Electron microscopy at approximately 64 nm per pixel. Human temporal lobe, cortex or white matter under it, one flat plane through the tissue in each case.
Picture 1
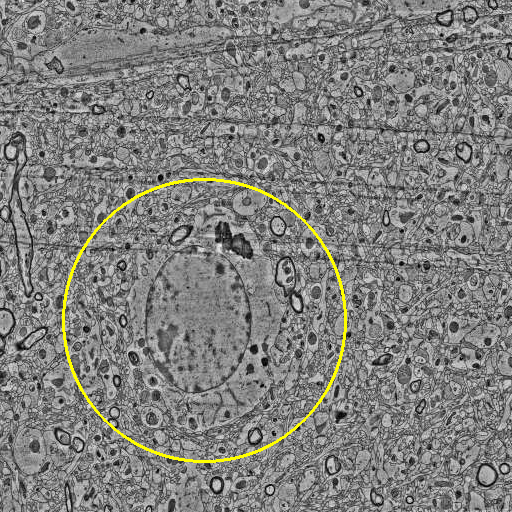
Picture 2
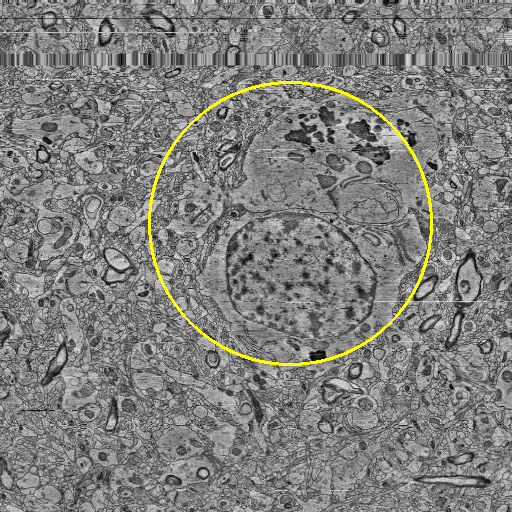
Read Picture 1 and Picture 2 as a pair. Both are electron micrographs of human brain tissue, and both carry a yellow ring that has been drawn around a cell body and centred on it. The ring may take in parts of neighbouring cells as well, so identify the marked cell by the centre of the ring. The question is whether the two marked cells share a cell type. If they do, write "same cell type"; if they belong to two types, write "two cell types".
same cell type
